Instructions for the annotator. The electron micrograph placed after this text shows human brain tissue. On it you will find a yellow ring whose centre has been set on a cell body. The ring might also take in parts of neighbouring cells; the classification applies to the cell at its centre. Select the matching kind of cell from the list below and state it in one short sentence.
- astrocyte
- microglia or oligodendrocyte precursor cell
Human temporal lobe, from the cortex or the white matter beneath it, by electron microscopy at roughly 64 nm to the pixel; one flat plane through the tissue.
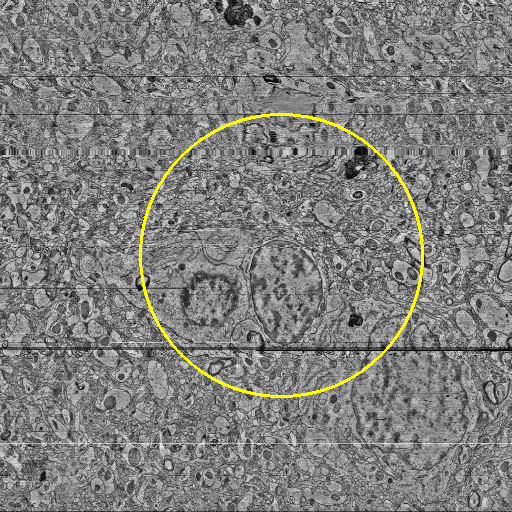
The ring is drawn on the cell body of a microglial cell or oligodendrocyte precursor cell.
